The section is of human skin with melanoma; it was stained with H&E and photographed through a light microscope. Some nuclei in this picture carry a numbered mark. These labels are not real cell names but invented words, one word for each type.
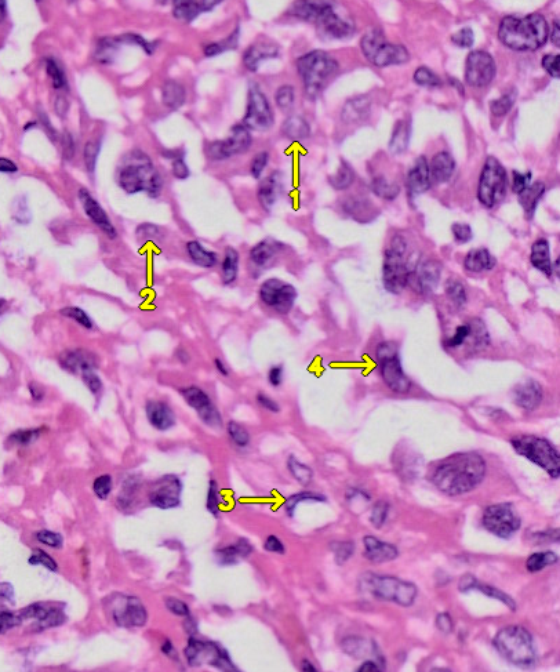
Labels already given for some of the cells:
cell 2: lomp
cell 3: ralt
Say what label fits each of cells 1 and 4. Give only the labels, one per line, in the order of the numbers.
lomp
lomp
